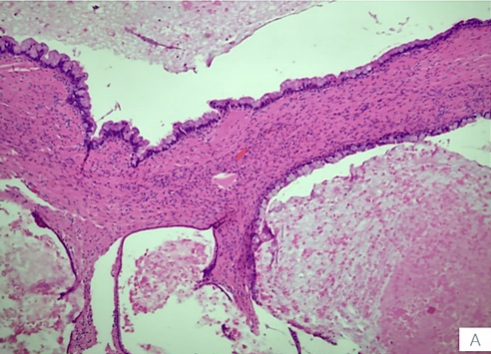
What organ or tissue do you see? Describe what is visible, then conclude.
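A single layer of tall columnar cells with pale apical cytoplasm lines the cyst spaces. The nuclei sit at the base of the cells and are small and evenly spaced. Cyst spaces contain pale pink material.
Hence: Low-grade mucinous epithelium.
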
